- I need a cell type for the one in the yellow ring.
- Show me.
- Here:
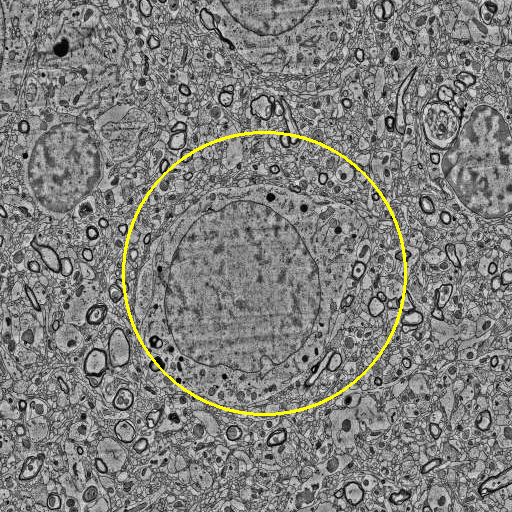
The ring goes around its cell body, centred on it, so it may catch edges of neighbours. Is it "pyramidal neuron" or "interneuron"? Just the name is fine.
pyramidal neuron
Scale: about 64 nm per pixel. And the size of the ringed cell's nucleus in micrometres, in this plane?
Approximately 11 micrometres across in this plane.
